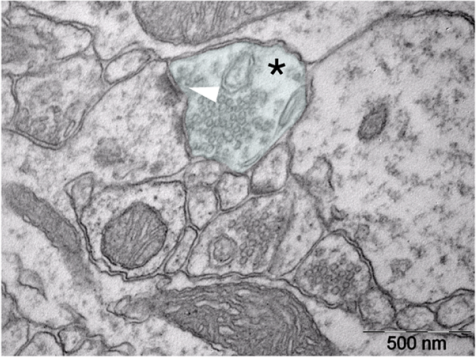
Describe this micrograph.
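This electron micrograph shows a presynaptic bouton in neuropil, shaded light blue, containing many small round clear synaptic vesicles gathered mainly in its left and central part, with a paler, less crowded area at upper right near the asterisk. The arrowhead marks a dense membrane contact, the active zone, on the bouton's edge.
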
